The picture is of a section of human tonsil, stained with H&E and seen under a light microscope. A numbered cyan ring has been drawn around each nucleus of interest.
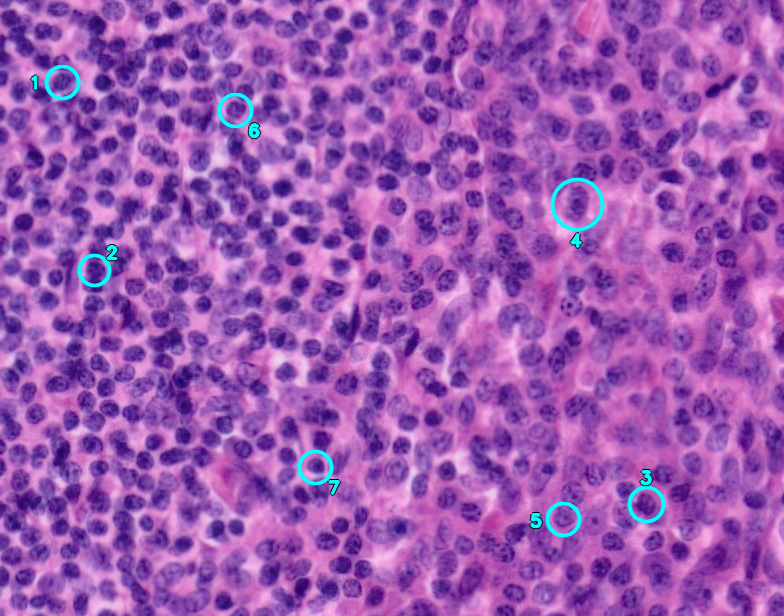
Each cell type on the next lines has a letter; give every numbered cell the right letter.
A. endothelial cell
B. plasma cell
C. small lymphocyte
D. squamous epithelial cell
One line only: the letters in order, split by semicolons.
C; C; B; D; B; C; C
